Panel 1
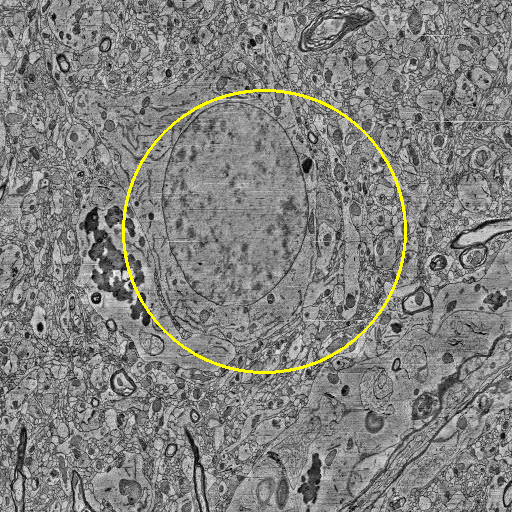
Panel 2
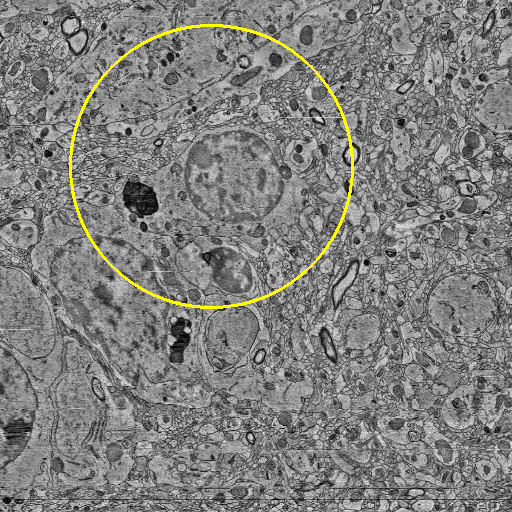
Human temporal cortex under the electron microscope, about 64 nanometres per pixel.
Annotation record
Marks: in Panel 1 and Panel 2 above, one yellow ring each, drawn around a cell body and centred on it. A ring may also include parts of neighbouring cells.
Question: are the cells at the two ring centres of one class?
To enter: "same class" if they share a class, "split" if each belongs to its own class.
split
